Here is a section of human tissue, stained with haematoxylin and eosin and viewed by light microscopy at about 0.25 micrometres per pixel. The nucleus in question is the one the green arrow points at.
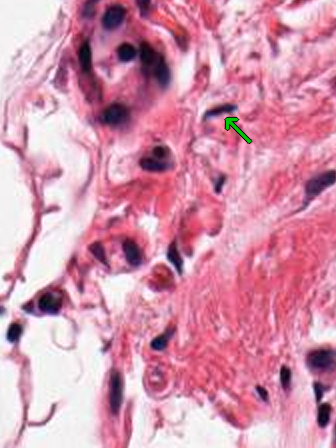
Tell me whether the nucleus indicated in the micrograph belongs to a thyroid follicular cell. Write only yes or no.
no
